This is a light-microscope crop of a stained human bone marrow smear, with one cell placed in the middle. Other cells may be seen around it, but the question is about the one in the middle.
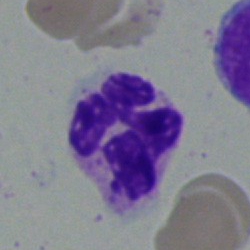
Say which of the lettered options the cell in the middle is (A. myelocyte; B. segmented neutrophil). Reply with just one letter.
B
